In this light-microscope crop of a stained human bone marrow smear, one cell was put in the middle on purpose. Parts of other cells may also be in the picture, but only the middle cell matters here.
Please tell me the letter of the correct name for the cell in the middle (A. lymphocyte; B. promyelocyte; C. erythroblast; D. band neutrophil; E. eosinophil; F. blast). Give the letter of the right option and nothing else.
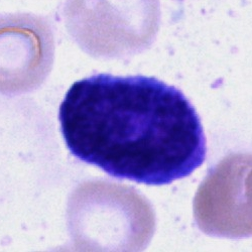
F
